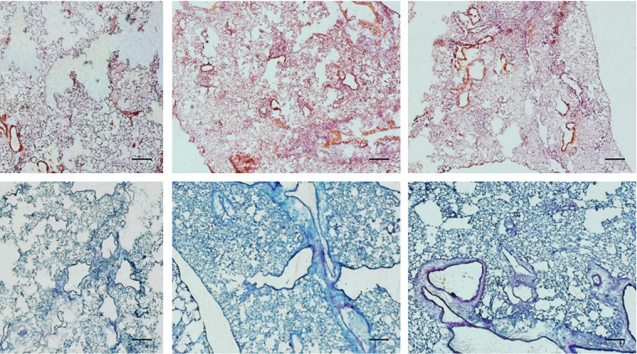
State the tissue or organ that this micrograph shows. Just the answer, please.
lungs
